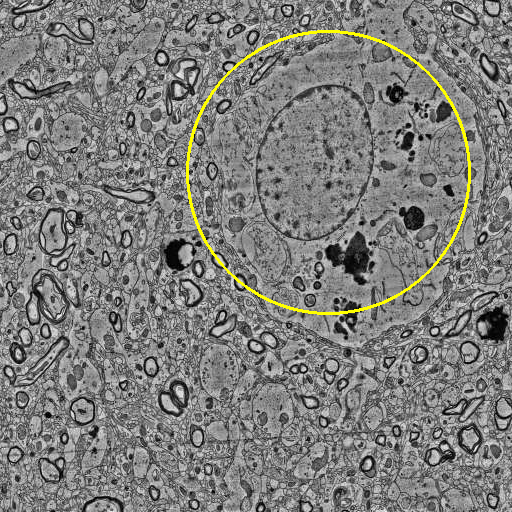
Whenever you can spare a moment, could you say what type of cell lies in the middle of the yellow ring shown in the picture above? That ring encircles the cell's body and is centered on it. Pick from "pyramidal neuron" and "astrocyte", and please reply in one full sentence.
The cell whose body sits at the middle of the yellow ring is an astrocyte.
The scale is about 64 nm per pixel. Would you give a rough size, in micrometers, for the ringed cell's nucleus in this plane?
Approximately 10 micrometres long and 7 micrometres wide, in this plane.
